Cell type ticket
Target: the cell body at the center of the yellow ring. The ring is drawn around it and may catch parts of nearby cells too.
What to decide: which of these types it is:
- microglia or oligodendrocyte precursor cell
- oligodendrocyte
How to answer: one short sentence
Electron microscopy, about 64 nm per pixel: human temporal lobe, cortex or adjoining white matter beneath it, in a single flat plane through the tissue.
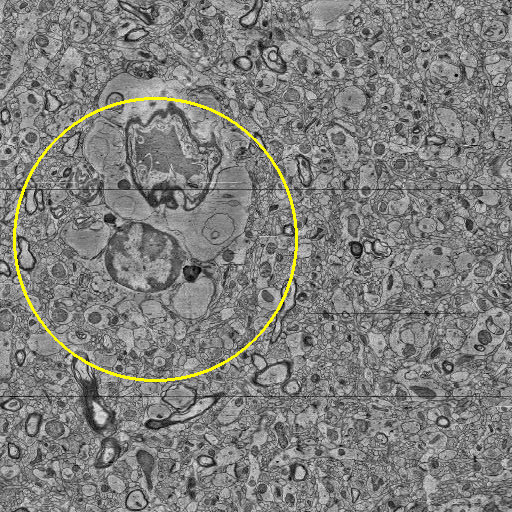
The cell at the center of the ring is a microglial cell or oligodendrocyte precursor cell.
